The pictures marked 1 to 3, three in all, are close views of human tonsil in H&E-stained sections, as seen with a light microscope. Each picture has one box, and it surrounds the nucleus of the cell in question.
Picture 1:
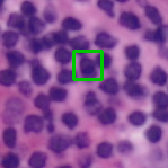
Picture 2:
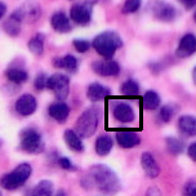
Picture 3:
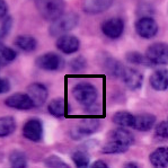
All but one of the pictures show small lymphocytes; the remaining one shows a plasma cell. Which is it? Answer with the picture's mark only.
3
